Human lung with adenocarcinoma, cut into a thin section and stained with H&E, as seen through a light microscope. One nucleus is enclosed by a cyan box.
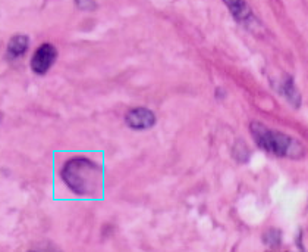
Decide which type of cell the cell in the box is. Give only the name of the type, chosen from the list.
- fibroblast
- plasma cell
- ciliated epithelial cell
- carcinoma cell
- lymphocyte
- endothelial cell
fibroblast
